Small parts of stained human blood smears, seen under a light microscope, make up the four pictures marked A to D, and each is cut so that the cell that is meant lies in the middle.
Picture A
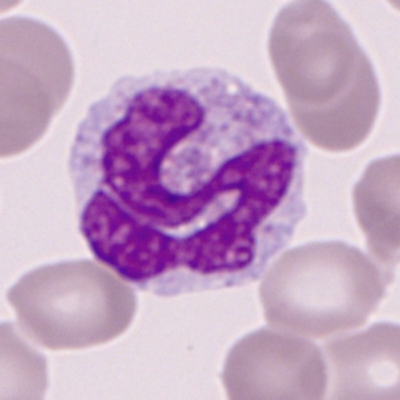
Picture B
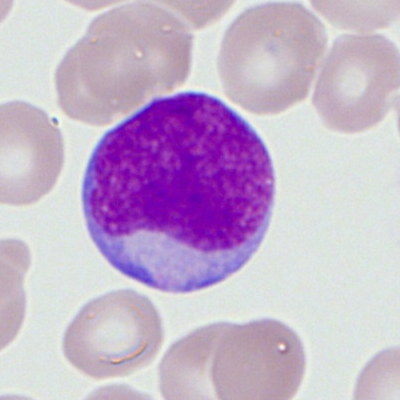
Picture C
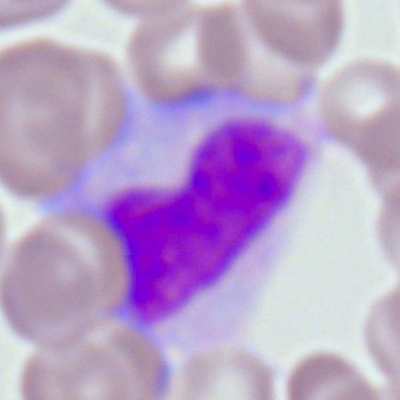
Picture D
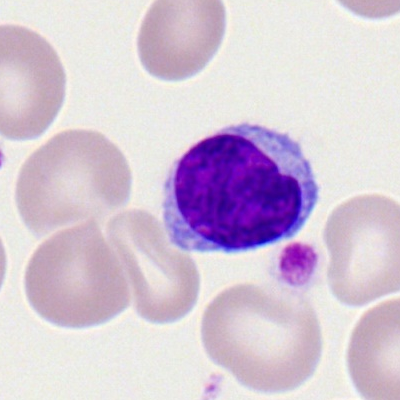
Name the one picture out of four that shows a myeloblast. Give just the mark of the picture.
B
